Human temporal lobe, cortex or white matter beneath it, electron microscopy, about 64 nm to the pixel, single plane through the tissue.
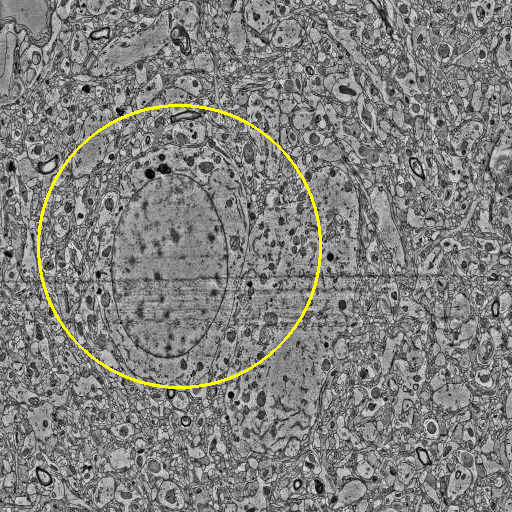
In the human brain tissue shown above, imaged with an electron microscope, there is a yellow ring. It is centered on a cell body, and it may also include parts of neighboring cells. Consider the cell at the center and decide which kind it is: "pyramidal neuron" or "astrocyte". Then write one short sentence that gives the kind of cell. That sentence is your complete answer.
This centered cell body is that of a pyramidal neuron.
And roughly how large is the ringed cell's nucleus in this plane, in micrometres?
In this plane the nucleus is clearly longer than it is wide: roughly 12 by 8 micrometres.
